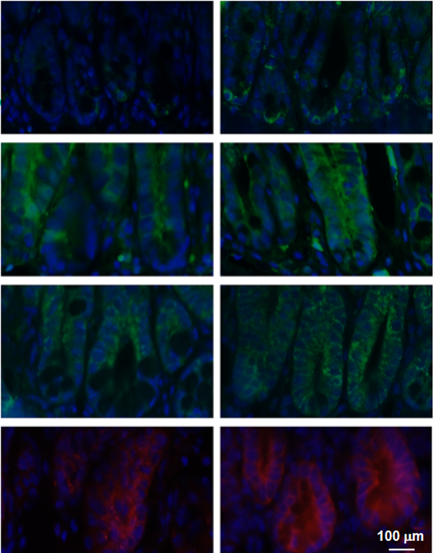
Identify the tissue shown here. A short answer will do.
intestine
